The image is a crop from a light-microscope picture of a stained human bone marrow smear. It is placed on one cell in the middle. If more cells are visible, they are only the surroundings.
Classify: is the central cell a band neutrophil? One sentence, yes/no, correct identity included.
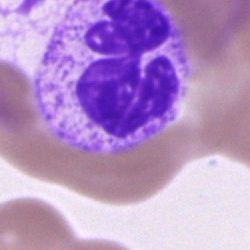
No, wrong label: the middle cell is a segmented neutrophil instead of a band neutrophil.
